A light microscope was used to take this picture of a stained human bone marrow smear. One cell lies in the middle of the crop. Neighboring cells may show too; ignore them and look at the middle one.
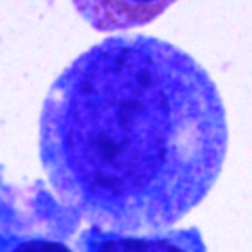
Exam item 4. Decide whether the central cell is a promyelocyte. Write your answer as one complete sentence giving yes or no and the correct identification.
Yes, the centered cell in this field is a promyelocyte.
